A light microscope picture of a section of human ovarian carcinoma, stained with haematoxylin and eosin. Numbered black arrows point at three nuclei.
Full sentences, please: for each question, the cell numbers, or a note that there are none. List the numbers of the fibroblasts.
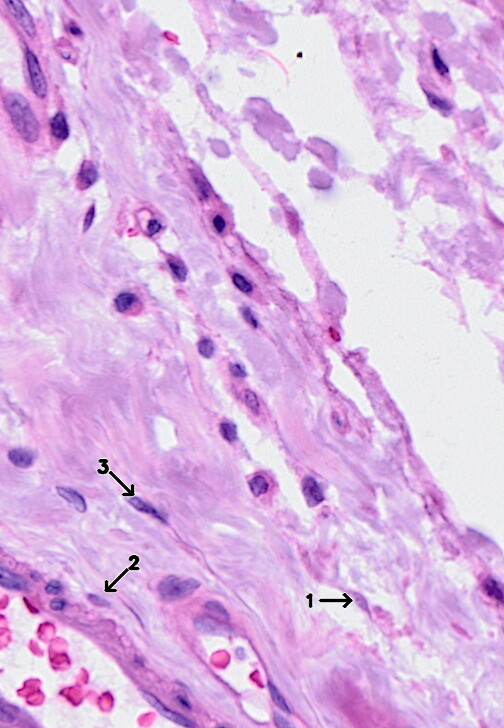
Classified as fibroblasts are the cells numbered 1 and 2.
